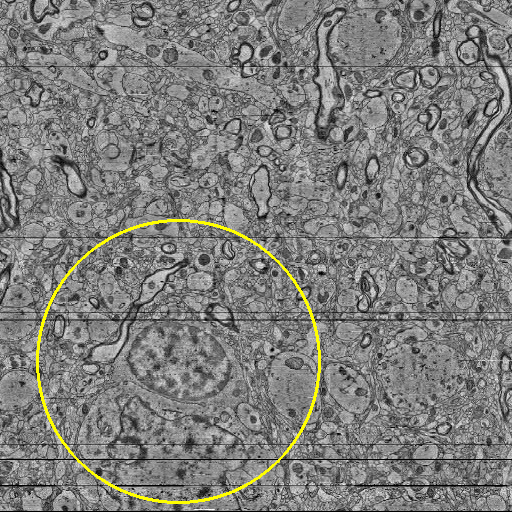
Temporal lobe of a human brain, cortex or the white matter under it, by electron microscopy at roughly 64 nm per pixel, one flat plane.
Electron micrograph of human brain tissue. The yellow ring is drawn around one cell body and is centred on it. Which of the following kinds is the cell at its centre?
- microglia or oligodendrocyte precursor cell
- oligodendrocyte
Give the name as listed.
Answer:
oligodendrocyte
